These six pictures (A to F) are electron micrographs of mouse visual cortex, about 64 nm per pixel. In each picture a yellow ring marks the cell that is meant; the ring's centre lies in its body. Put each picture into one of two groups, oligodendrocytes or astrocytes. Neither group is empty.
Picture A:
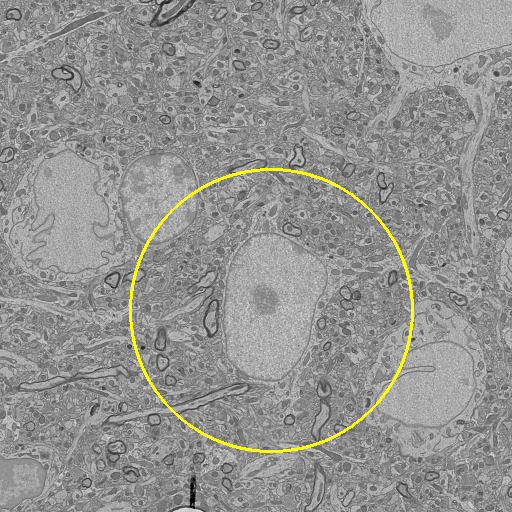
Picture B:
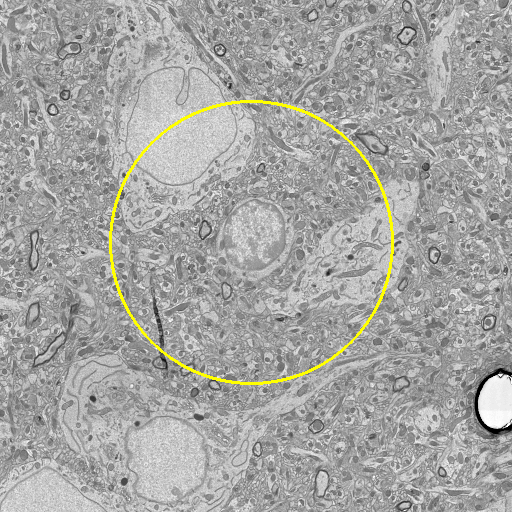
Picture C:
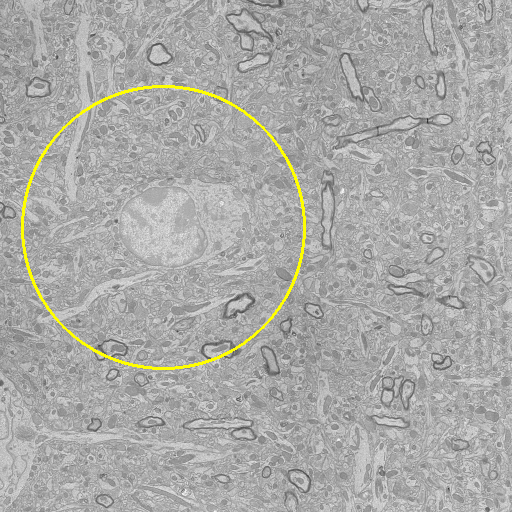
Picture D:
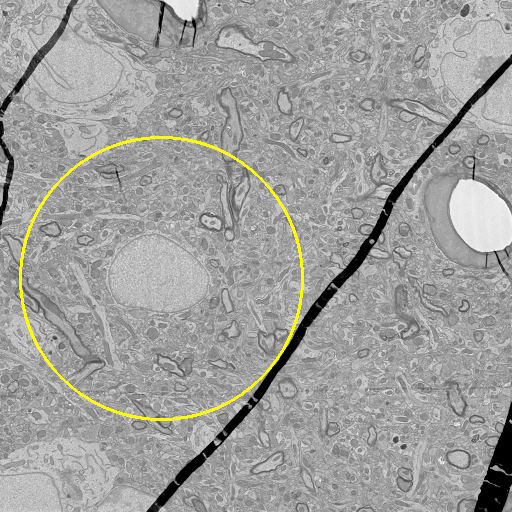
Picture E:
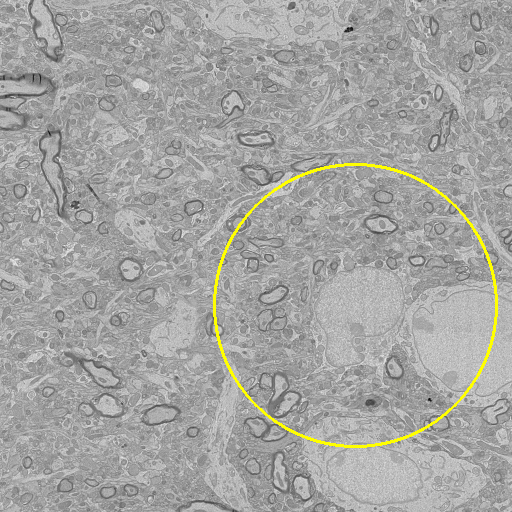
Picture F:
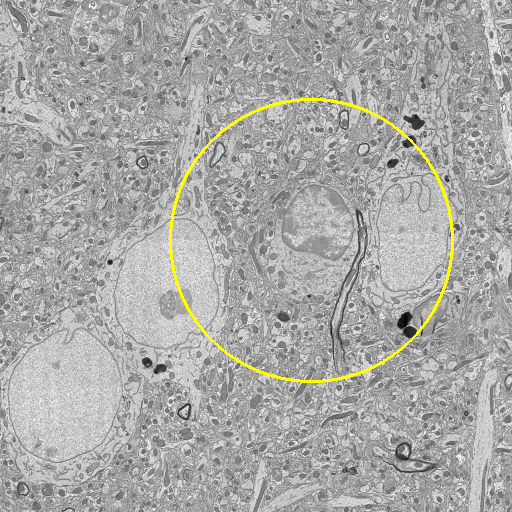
Pictures B, C and F show oligodendrocytes, and pictures A, D and E show astrocytes.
